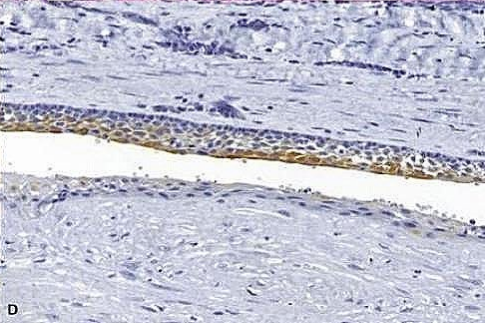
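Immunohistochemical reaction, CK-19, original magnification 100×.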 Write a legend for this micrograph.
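A band of several layers of closely packed cells with small oval nuclei is stained brown and lines a long, empty space. On both sides lies pale blue, loosely fibrous tissue with scattered elongated nuclei and no brown staining. This stained band is the epithelium lining a cyst.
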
